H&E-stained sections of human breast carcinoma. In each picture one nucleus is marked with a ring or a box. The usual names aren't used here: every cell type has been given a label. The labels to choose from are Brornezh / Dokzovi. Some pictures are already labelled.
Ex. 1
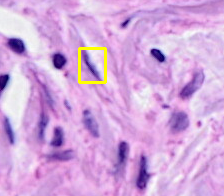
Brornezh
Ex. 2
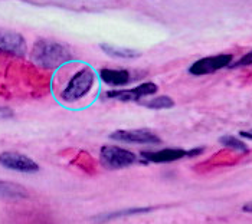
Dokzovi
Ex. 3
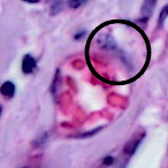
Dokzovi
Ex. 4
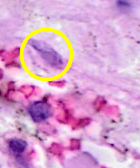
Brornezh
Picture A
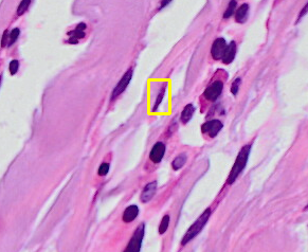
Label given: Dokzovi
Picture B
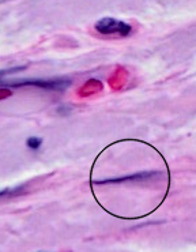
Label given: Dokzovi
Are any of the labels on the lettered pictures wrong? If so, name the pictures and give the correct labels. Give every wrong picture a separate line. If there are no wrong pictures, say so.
A is labelled Dokzovi; correct label: Brornezh
B is labelled Dokzovi; correct label: Brornezh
